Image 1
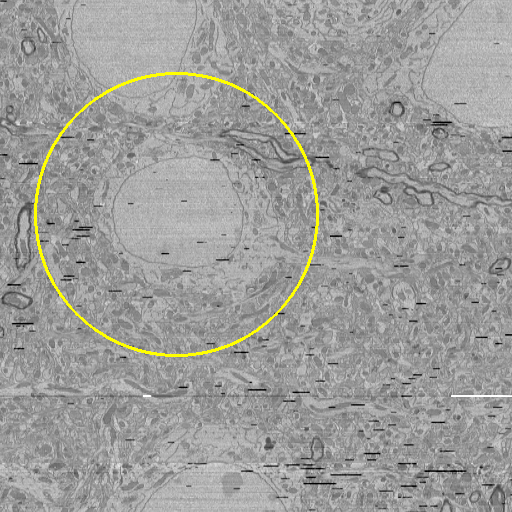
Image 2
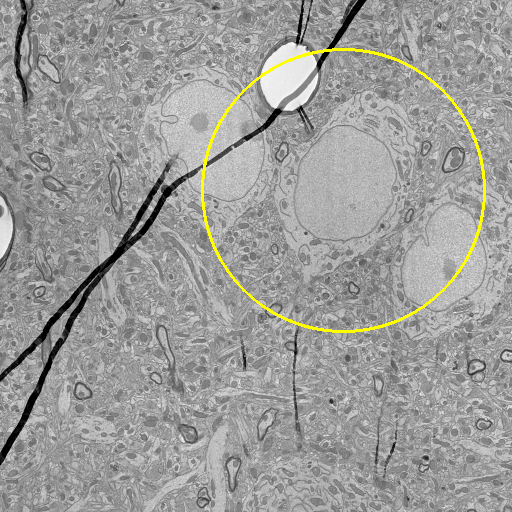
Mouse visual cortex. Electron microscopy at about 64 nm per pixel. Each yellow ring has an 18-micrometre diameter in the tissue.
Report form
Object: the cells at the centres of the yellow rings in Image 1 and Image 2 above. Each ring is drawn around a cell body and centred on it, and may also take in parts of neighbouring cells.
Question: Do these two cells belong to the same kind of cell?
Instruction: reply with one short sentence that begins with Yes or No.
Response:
Yes, both belong to the same kind of cell.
